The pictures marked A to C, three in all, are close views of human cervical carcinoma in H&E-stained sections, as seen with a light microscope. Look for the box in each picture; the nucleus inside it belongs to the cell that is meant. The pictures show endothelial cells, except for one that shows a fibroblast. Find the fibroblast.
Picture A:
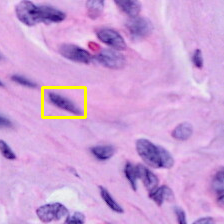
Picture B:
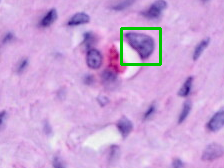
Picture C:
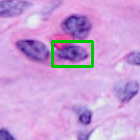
A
